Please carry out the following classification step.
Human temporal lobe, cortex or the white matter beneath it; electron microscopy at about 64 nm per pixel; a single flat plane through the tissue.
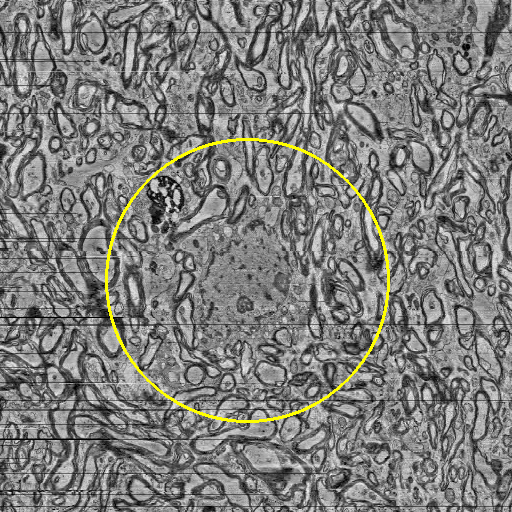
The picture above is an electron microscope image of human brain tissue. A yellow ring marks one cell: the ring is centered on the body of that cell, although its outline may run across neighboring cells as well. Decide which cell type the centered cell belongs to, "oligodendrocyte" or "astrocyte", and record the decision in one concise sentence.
The cell centered in the yellow ring is an astrocyte.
